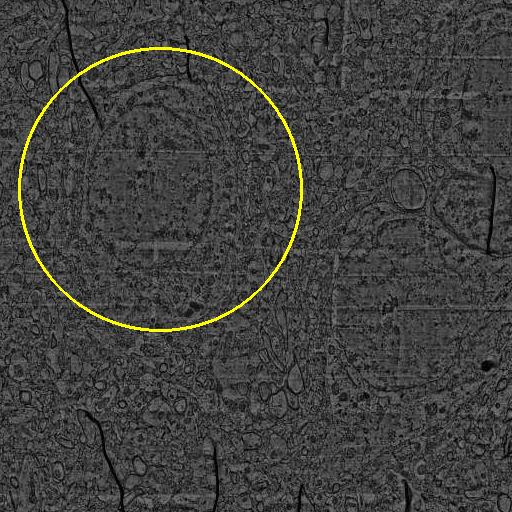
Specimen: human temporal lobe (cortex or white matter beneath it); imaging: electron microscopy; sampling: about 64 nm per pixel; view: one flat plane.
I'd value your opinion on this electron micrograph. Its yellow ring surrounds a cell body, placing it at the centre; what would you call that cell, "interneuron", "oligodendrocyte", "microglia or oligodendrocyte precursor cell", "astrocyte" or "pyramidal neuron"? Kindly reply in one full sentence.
It is an interneuron that sits centred within the yellow ring in this micrograph.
